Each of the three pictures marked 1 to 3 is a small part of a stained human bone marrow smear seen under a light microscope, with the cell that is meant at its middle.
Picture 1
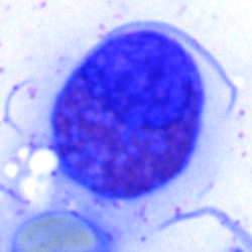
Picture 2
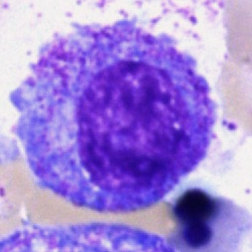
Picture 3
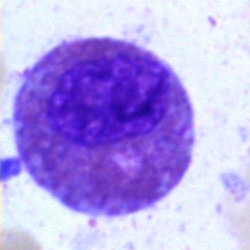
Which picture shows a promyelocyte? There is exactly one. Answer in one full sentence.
The promyelocyte is the one in picture 2.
